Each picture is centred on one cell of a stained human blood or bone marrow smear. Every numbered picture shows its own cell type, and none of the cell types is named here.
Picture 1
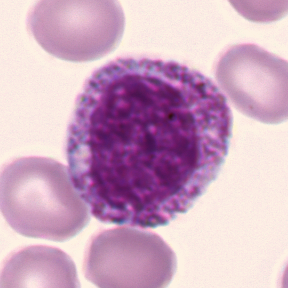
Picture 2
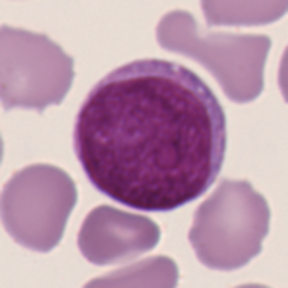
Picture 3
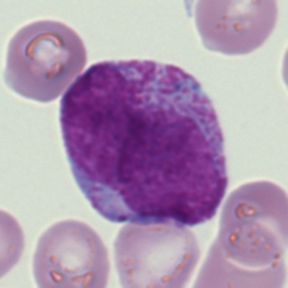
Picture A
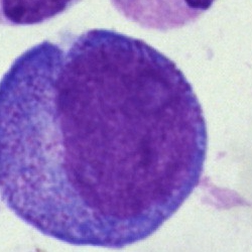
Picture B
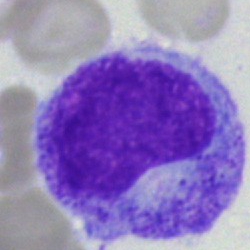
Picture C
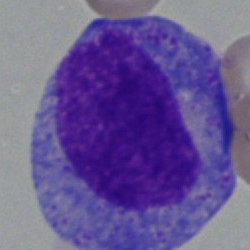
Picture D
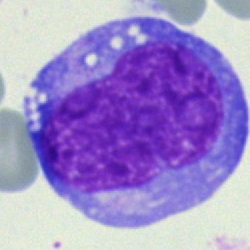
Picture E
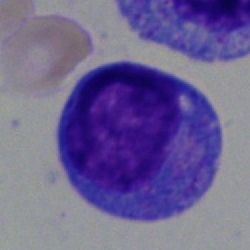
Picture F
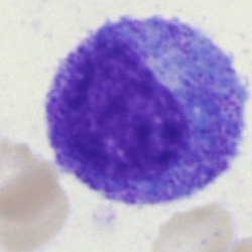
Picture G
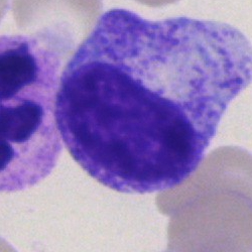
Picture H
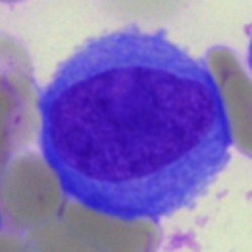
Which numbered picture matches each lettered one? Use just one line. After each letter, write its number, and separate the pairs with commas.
A 3, B 3, C 3, D 2, E 2, F 3, G 1, H 2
